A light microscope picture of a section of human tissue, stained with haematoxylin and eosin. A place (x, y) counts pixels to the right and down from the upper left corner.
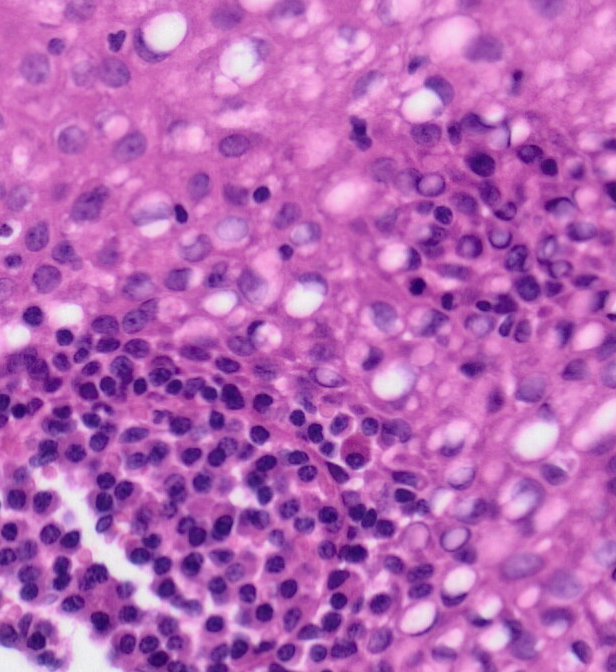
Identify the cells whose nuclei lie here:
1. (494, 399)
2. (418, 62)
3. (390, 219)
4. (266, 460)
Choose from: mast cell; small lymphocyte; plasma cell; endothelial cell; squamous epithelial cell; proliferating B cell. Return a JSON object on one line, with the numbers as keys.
{"1": "squamous epithelial cell", "2": "squamous epithelial cell", "3": "squamous epithelial cell", "4": "plasma cell"}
